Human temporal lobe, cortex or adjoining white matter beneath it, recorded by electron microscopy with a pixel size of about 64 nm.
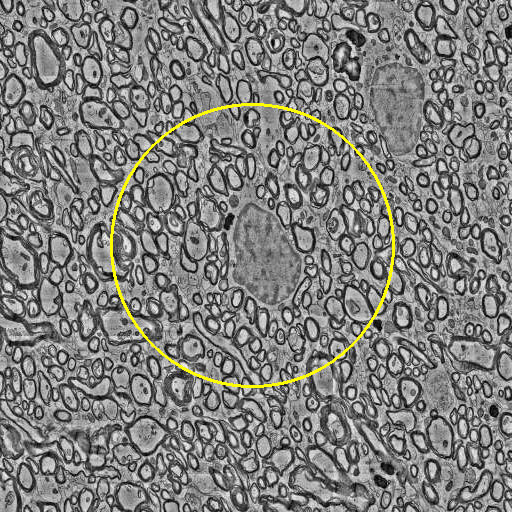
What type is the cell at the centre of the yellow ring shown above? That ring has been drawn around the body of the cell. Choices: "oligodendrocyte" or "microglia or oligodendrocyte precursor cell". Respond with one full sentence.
My answer is that an oligodendrocyte lies at the centre of the yellow ring above.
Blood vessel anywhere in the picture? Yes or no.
No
